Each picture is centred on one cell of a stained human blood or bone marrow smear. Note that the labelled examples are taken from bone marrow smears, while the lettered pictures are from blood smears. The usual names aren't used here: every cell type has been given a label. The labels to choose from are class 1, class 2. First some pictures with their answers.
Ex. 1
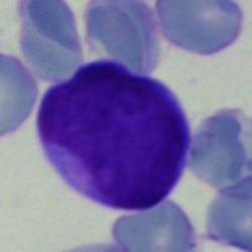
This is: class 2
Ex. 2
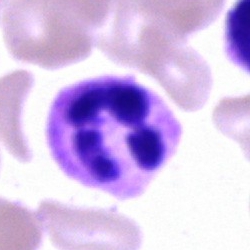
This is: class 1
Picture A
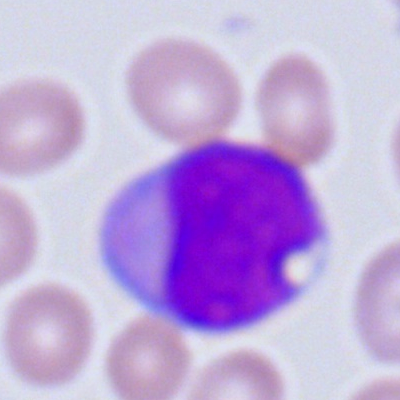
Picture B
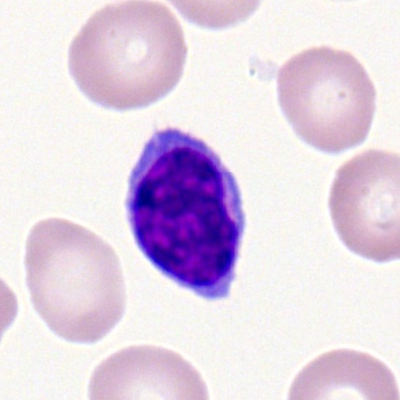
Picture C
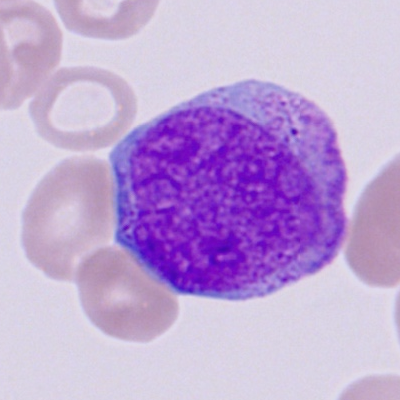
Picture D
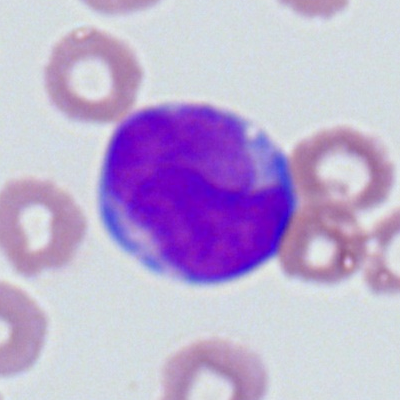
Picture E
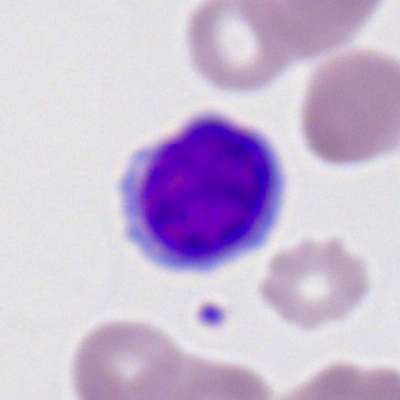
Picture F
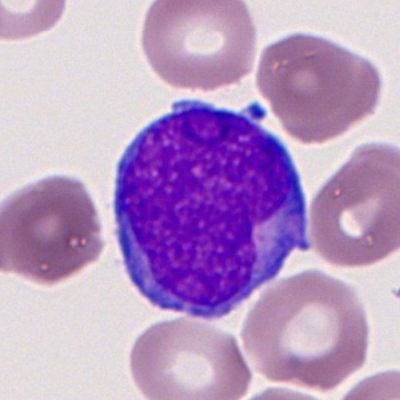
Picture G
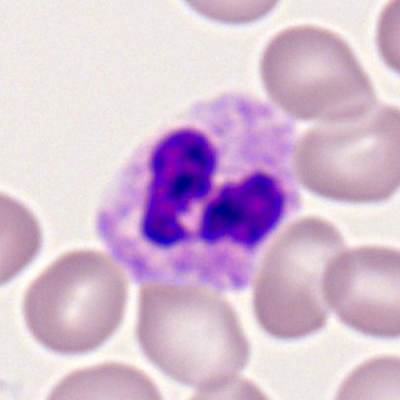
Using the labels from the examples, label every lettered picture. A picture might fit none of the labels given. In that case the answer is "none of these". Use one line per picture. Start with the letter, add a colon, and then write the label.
A: class 2
B: none of these
C: class 2
D: class 2
E: none of these
F: class 2
G: class 1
